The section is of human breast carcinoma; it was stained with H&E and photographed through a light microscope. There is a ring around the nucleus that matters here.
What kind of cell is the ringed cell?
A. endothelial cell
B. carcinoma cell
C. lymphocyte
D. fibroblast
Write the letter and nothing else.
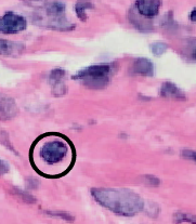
C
